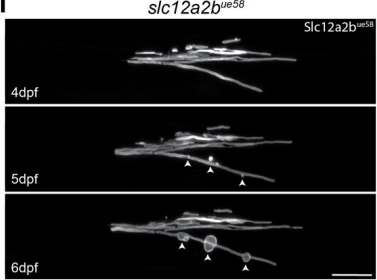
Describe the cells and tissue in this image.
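The three stacked images show the same single oligodendrocyte with its cluster of long parallel myelin sheaths. In the first image the sheaths are mostly smooth and thin.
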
